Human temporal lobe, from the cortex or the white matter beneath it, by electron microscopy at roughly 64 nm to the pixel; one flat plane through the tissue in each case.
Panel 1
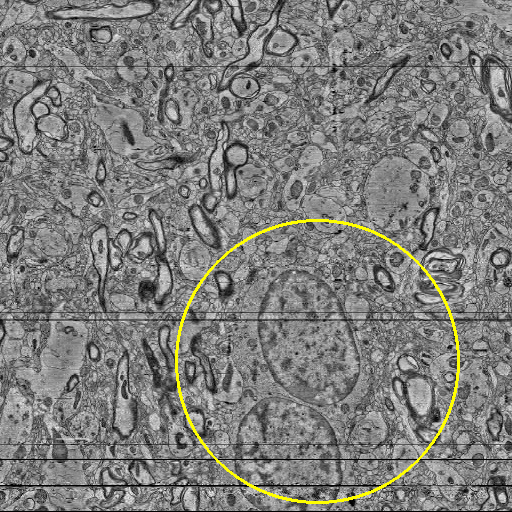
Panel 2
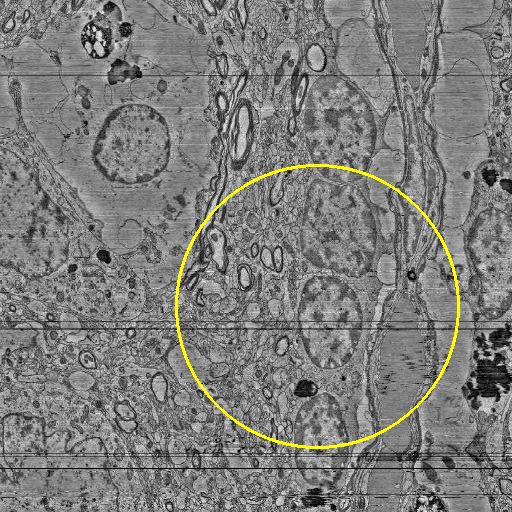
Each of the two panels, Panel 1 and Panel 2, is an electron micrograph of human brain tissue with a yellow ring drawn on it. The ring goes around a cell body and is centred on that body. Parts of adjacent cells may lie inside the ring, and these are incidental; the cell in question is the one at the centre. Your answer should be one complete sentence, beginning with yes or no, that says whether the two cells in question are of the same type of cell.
Yes, the two cells are of the same type.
